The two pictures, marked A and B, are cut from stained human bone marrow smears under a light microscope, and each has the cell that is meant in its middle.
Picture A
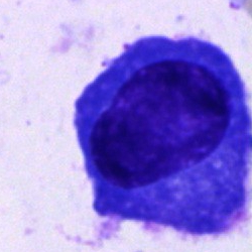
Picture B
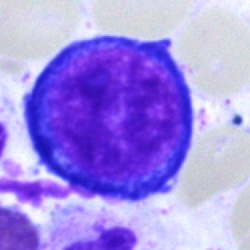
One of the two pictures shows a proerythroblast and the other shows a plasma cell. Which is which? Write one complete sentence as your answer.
The cell in picture A is a plasma cell, and the one in picture B is a proerythroblast.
